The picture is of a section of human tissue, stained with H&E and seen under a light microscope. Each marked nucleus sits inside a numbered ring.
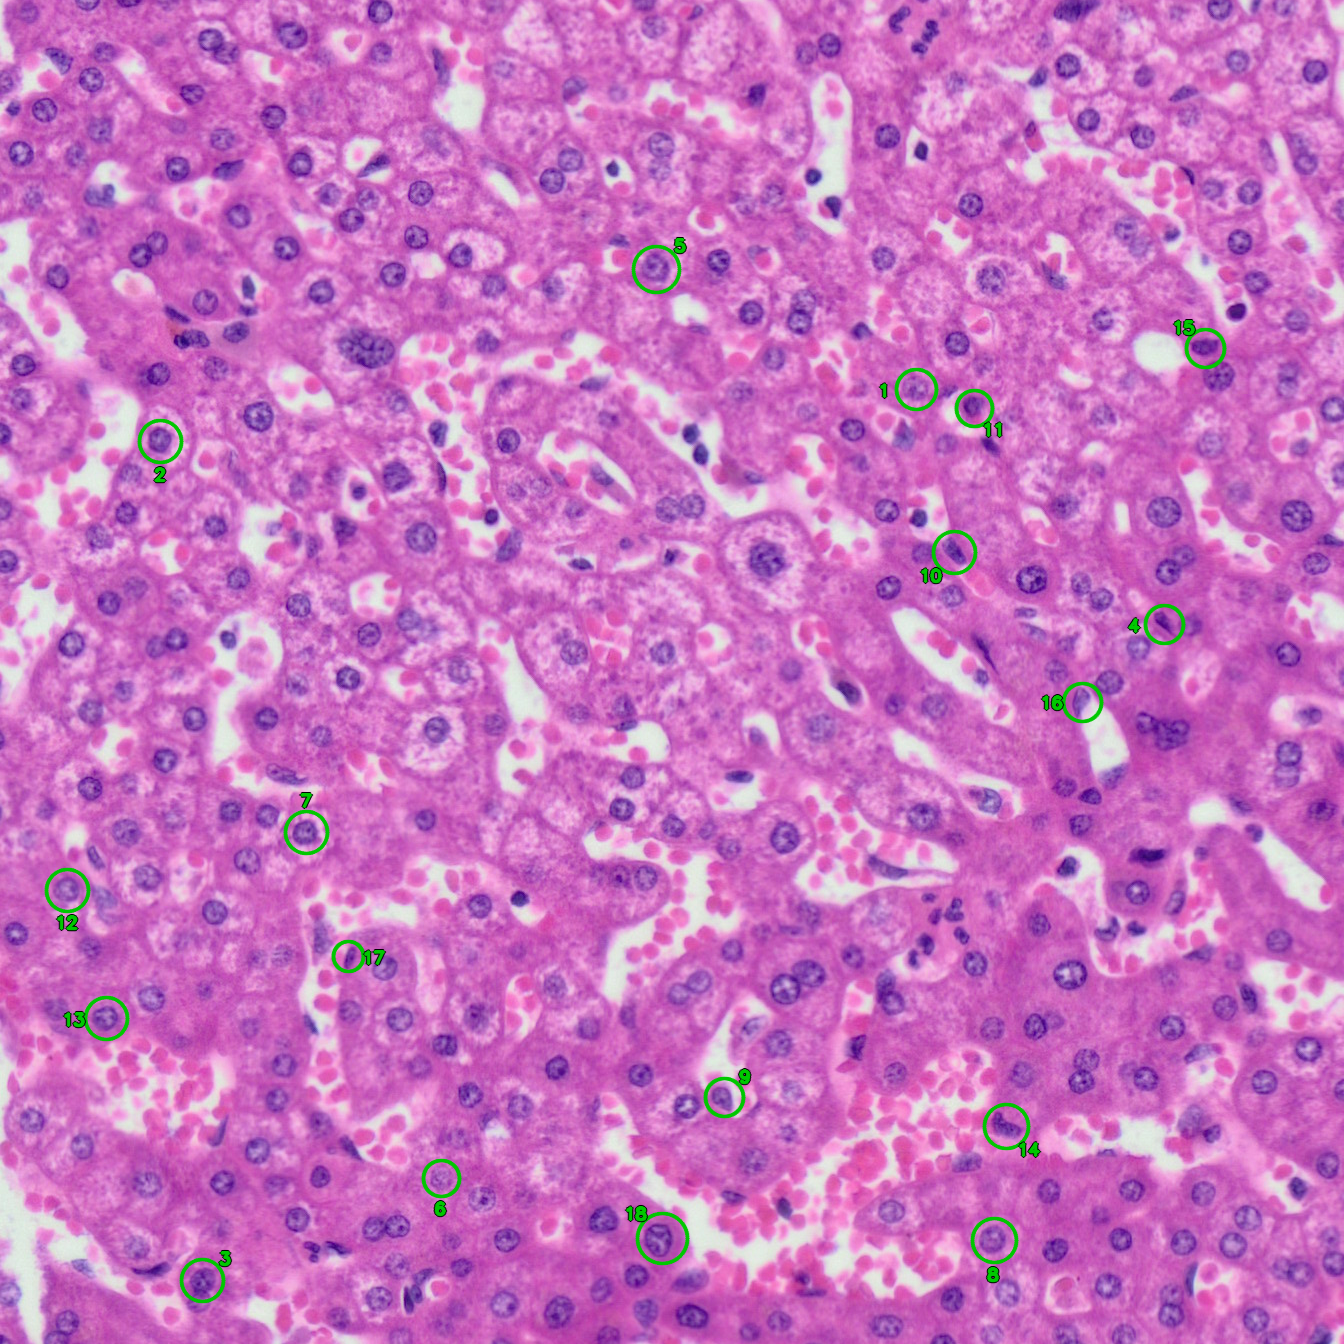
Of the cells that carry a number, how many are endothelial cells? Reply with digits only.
1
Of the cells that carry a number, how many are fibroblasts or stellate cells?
5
